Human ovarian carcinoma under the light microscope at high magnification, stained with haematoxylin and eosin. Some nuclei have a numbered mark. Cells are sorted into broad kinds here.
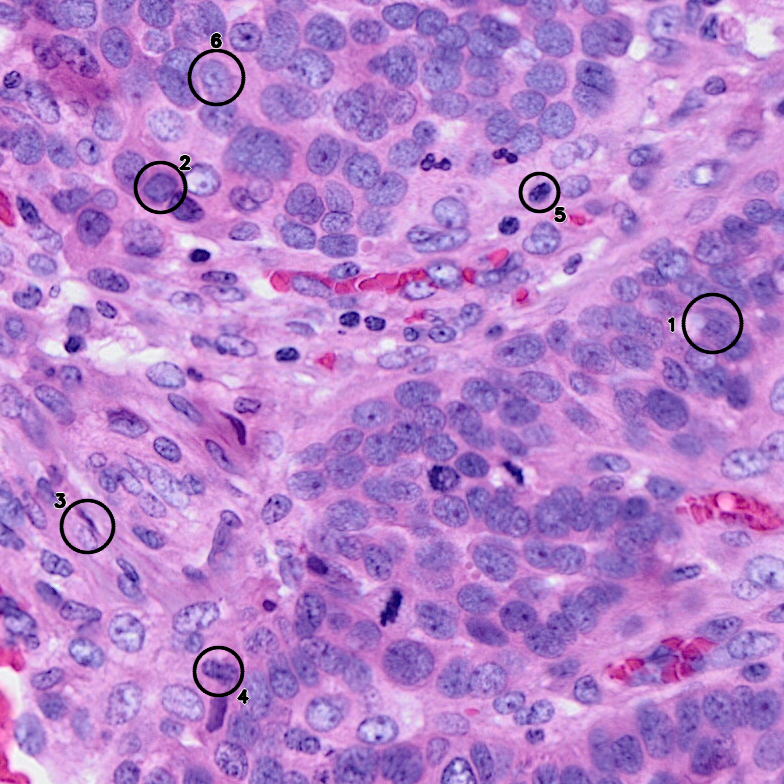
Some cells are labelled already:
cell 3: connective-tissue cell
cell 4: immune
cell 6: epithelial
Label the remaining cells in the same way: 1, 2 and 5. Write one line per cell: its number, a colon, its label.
1: epithelial
2: epithelial
5: immune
